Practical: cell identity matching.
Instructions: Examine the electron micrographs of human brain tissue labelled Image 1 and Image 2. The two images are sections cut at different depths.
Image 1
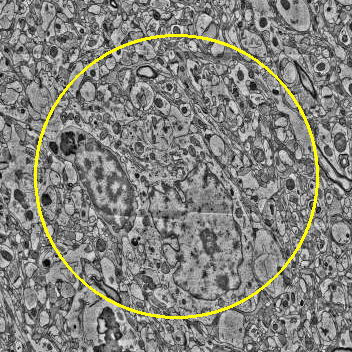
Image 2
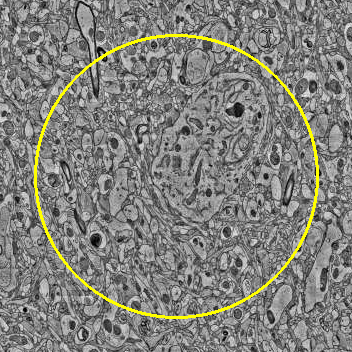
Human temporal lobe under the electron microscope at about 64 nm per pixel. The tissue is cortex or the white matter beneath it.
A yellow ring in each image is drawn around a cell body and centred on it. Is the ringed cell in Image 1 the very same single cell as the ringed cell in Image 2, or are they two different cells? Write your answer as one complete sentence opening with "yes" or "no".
No, two different cells appear inside the two yellow rings.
